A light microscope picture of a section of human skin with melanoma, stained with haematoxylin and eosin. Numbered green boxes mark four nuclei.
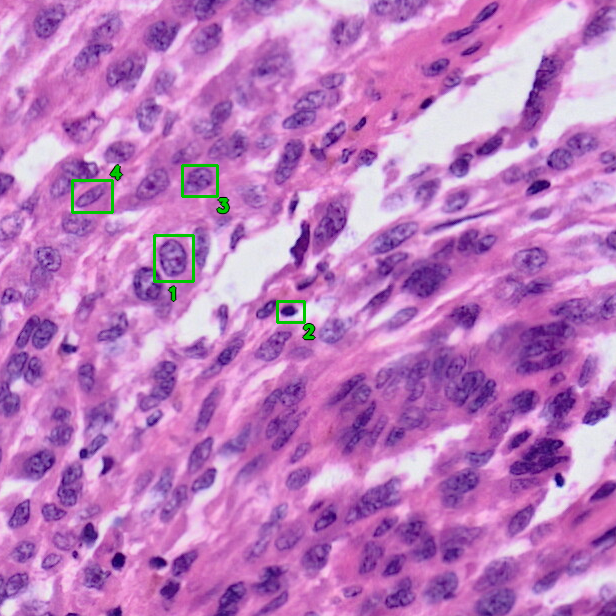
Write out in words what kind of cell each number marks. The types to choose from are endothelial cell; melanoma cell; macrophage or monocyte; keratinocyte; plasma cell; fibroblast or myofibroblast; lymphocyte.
Cells 1, 3 and 4 are melanoma cells. Cell 2 is a lymphocyte.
